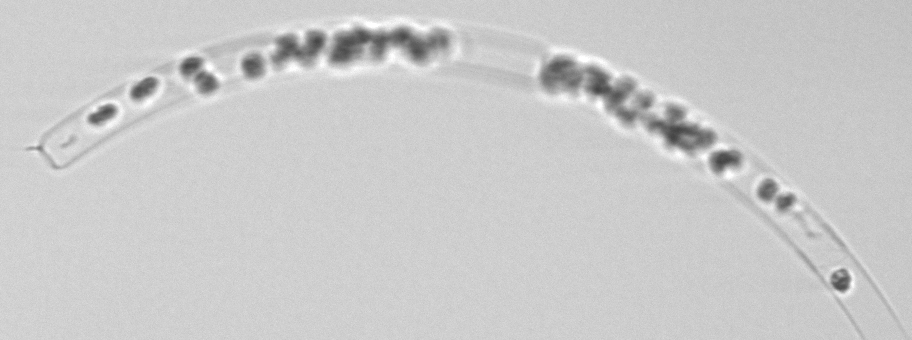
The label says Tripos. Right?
Wrong: this is Guinardia.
